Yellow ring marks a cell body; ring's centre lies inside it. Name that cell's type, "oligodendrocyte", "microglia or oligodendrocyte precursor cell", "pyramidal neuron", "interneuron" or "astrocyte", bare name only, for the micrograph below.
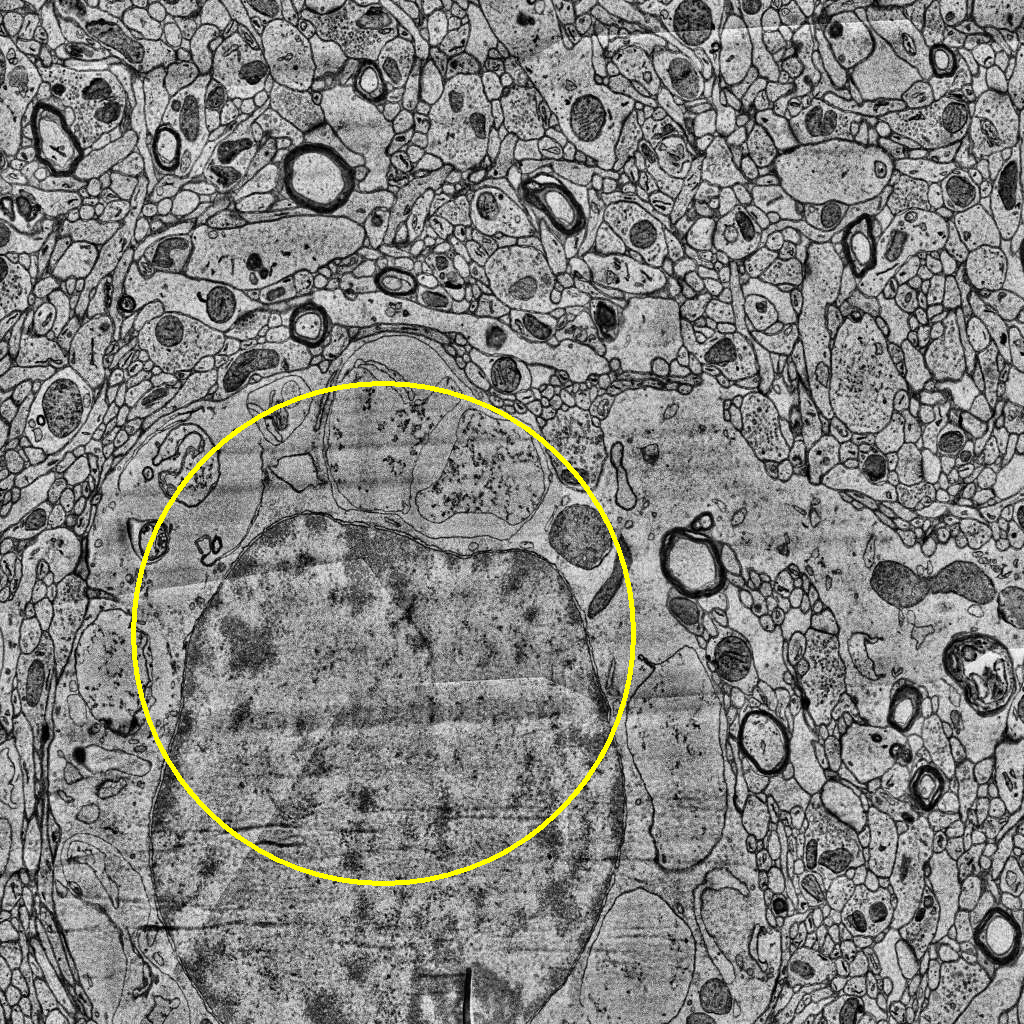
astrocyte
